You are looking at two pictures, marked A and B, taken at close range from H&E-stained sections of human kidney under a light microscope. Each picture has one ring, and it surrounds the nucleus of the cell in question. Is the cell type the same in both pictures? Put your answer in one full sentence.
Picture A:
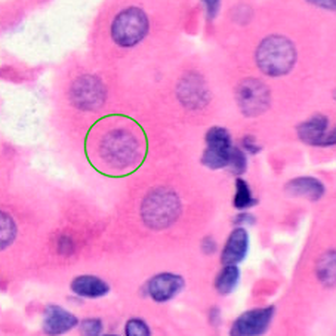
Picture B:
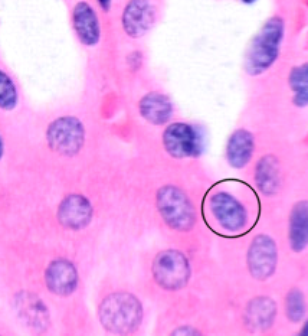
No, they differ: the cell is a proximal tubule cell in picture A and a “loop of Henle or distal tubule cell” in picture B.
